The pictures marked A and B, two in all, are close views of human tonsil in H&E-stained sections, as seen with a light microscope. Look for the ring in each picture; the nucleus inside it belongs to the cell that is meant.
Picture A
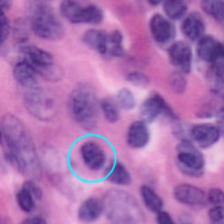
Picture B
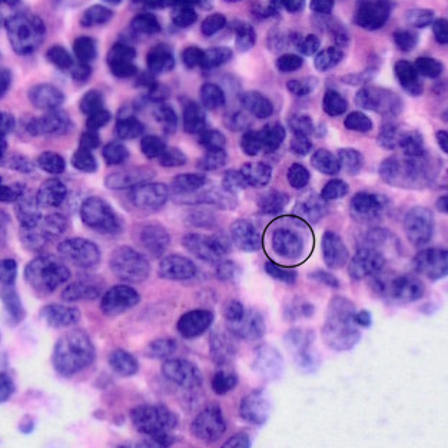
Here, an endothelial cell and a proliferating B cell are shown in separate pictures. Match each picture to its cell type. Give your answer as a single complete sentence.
Picture A shows an endothelial cell and picture B shows a proliferating B cell.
